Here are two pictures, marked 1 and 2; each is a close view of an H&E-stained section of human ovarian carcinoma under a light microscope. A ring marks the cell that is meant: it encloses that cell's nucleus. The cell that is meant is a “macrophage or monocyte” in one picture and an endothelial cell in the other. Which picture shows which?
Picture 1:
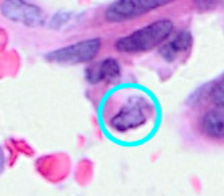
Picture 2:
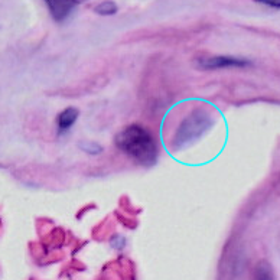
1: macrophage or monocyte
2: endothelial cell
